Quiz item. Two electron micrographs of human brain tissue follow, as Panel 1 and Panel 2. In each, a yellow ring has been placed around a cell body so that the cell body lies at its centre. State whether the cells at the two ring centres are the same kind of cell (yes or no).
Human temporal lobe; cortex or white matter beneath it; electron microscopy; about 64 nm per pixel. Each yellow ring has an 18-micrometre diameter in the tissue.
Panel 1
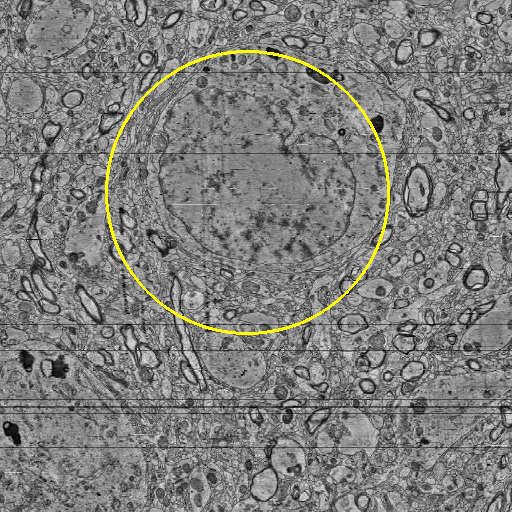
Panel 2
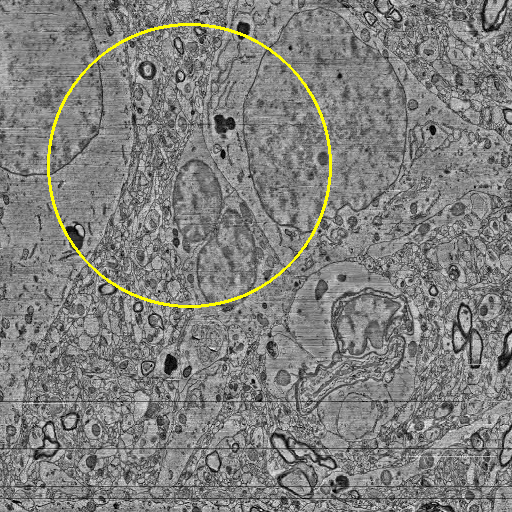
no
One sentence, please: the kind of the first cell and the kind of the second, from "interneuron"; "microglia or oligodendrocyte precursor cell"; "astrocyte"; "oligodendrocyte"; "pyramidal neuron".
The ring in the first picture surrounds a pyramidal neuron, and the ring in the second surrounds an oligodendrocyte.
